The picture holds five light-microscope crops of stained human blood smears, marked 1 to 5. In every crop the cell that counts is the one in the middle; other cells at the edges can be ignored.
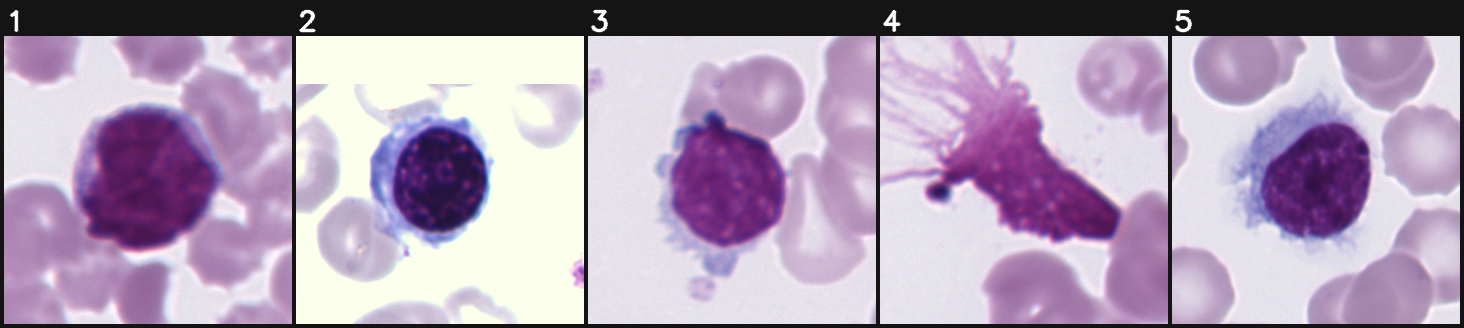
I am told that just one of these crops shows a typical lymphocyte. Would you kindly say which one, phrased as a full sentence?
It is crop 3 that shows a typical lymphocyte.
